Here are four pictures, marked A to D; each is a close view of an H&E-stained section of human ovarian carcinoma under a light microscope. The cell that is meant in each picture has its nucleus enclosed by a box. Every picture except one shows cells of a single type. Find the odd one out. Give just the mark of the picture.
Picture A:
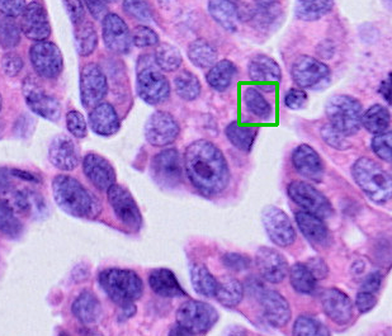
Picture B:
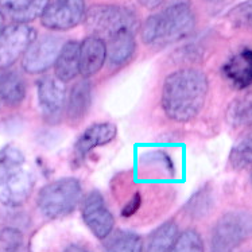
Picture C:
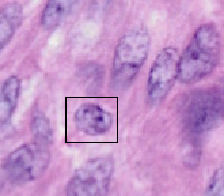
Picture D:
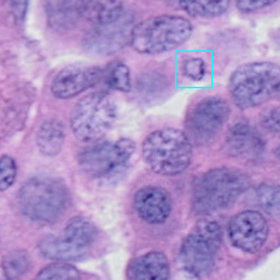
A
